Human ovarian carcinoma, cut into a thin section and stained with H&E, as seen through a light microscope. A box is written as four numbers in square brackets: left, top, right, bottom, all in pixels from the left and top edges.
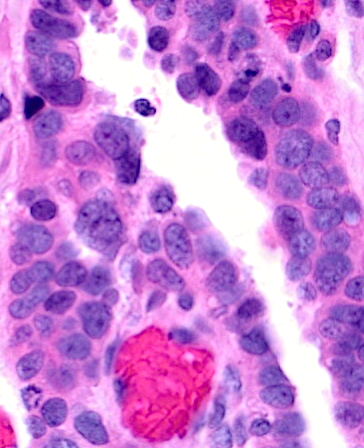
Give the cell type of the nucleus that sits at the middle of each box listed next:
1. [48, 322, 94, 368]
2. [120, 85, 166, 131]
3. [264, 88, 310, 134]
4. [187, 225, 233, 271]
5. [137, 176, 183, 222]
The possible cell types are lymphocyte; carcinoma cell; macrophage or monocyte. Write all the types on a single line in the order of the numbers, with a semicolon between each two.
carcinoma cell; lymphocyte; carcinoma cell; carcinoma cell; macrophage or monocyte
